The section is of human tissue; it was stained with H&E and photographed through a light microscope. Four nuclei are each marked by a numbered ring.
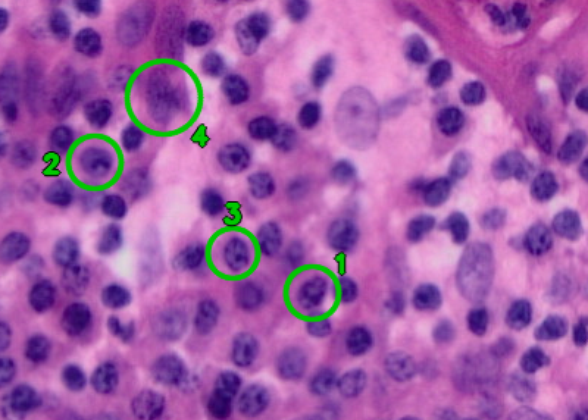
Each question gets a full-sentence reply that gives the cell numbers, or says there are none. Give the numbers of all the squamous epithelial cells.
Of all the numbered cells, only one is a squamous epithelial cell, and that is cell 4.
